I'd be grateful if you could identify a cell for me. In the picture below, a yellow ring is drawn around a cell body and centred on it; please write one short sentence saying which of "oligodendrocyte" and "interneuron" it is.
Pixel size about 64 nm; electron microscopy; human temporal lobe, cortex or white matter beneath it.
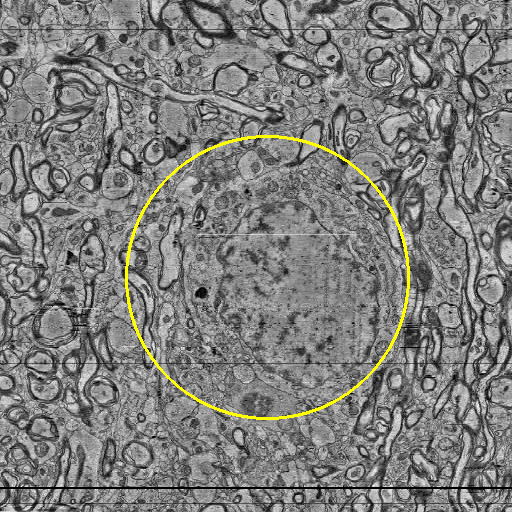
The cell under the ring's centre is an interneuron.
